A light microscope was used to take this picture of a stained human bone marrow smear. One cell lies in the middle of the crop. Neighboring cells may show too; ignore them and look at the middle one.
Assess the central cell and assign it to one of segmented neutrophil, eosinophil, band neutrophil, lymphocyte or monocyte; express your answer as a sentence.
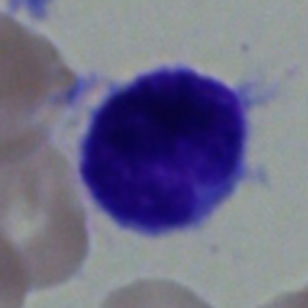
At the middle of the frame sits a lymphocyte.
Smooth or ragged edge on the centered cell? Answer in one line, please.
The cell membrane follows an uneven contour, either ragged or bearing projections.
